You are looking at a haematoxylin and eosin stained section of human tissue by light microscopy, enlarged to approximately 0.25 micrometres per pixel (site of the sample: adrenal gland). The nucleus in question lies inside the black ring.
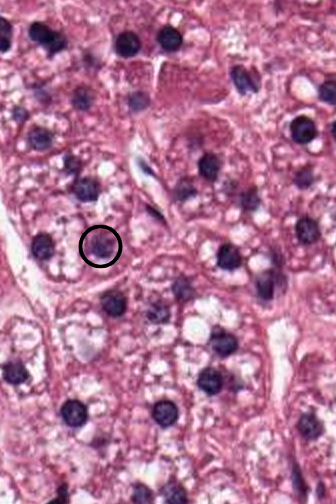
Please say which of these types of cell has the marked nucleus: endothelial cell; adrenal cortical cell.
adrenal cortical cell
